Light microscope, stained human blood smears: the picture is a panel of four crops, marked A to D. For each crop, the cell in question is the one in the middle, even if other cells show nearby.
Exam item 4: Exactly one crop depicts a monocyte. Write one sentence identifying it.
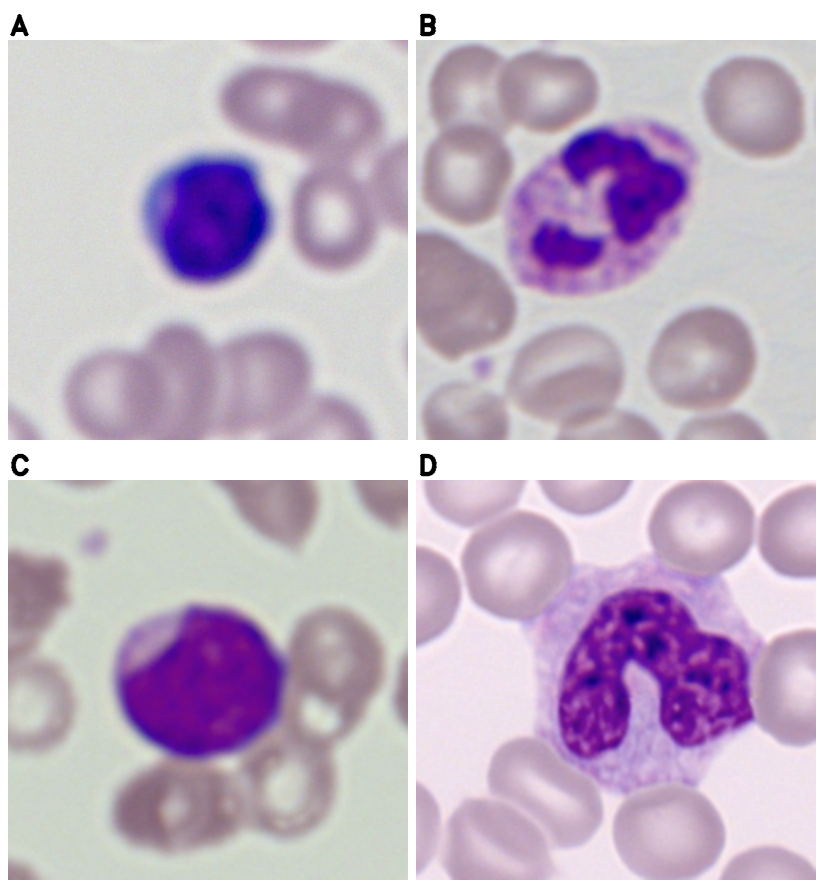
Of the crops given, a monocyte is found in crop D.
